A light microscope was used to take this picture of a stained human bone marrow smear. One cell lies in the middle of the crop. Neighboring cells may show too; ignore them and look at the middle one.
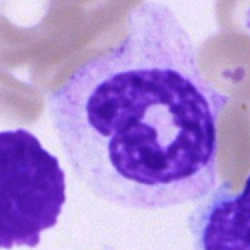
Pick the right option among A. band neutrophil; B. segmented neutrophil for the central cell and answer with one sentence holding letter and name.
What option A states is correct, the central cell being a band neutrophil.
